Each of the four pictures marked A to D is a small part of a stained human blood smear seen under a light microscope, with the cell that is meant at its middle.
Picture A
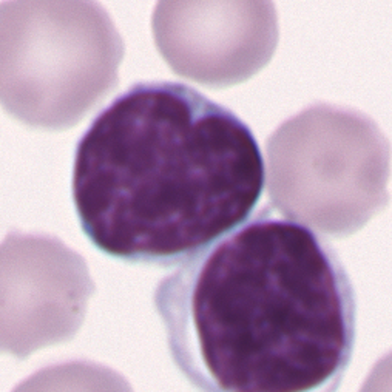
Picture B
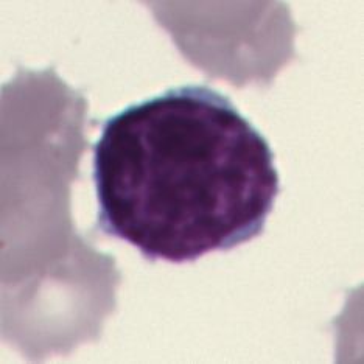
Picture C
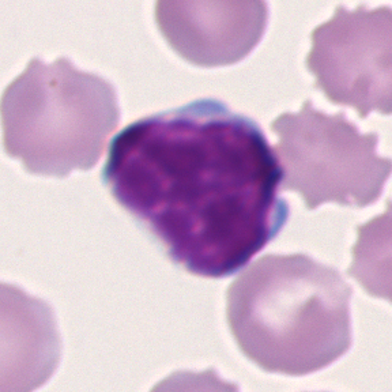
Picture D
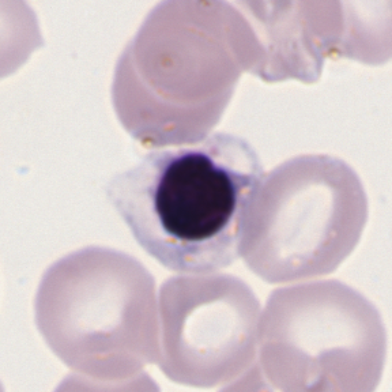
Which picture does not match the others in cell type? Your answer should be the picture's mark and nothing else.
D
